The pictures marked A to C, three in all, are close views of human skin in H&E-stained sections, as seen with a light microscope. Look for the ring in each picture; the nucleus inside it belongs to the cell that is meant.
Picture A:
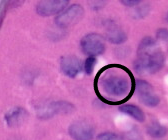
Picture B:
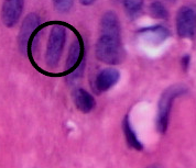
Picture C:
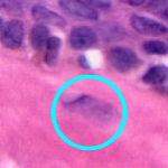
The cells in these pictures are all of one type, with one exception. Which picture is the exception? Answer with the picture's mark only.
C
